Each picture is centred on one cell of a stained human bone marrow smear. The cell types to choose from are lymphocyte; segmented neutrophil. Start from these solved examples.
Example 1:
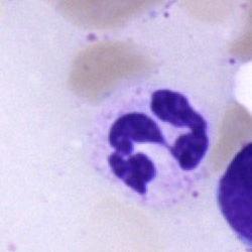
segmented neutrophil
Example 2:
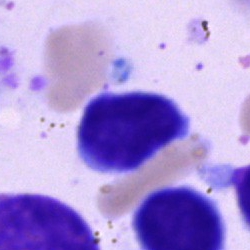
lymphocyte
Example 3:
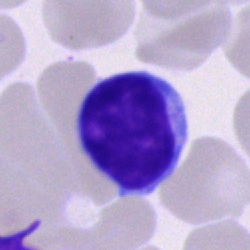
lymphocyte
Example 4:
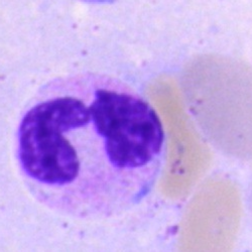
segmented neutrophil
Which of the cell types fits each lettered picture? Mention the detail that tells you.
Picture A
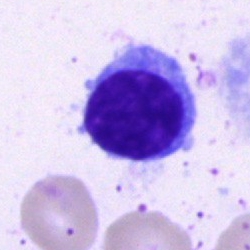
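lymphocyte. Evidence: The nucleus fills most of the cell.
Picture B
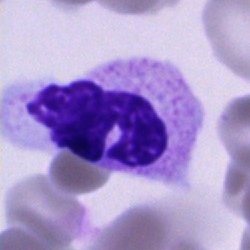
segmented neutrophil. Evidence: Fine pinkish-purple granules are scattered through the cytoplasm.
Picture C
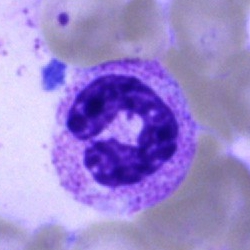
segmented neutrophil. Evidence: The nucleus is a thick curved band that wraps around a pale central space.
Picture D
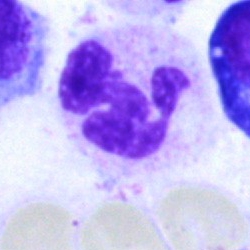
segmented neutrophil. Evidence: The cytoplasm is plentiful and pale with a faint pinkish tint.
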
